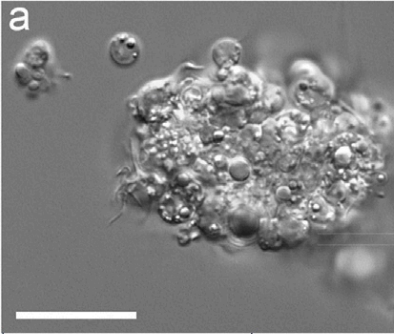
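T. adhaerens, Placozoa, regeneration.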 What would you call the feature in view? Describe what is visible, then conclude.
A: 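A compact clump of many rounded cells lies in the centre. A few single rounded cells lie apart from the clump. On this evidence: small cellular aggregates.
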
